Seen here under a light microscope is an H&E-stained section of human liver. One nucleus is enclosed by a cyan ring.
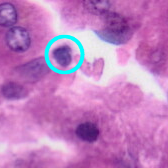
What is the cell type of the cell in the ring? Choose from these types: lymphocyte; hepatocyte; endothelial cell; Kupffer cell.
lymphocyte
